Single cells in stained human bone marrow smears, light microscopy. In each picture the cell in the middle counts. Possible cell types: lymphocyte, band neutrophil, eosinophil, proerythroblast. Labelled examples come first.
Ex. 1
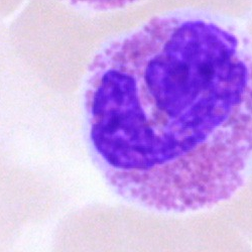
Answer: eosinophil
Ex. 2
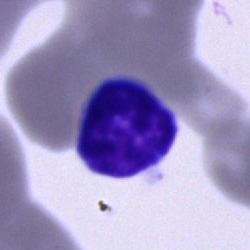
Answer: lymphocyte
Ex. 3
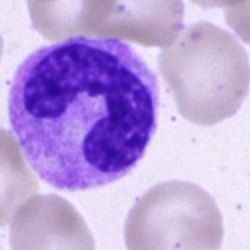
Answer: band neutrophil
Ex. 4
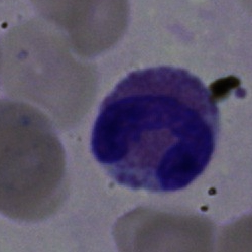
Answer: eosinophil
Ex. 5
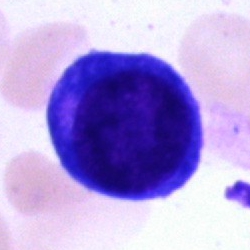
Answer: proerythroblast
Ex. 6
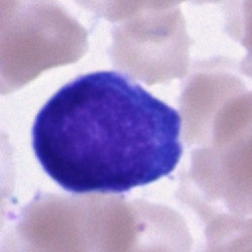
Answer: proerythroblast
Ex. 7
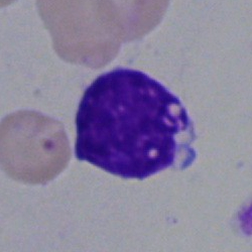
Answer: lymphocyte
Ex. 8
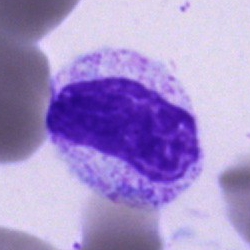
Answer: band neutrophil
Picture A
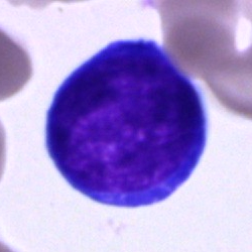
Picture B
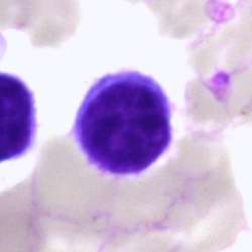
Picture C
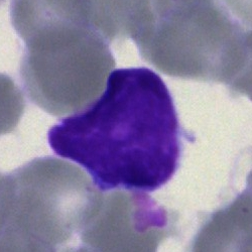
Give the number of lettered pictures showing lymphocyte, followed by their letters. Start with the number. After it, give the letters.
Count: 2 (B, C)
